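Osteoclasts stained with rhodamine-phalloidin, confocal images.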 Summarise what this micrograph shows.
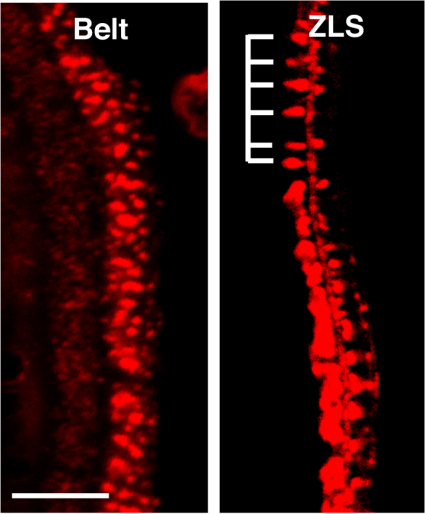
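On the left, a broad band of many small, densely packed red dots runs along the cell margin. On the right, a thin red line carries a row of bright, regularly spaced red dots, marked by a white comb, and larger merged red masses lie further along it.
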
